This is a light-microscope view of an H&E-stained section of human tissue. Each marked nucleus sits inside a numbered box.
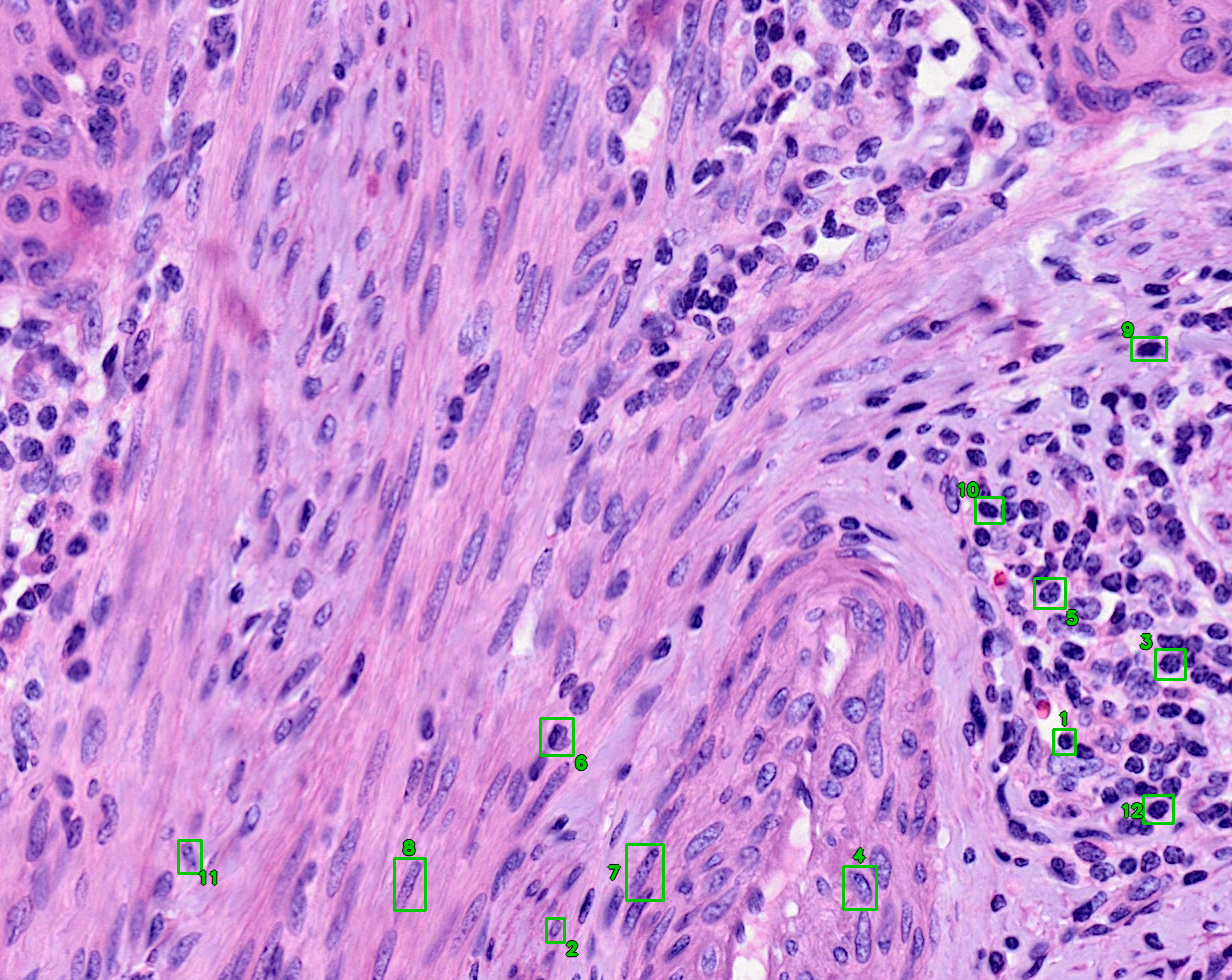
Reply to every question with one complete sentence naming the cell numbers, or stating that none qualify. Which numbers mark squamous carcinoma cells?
Across all the numbered cells, squamous carcinoma cells are absent.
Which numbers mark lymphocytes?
The cells carrying labels 1, 3, 5, 6, 9, 10 and 12 are lymphocytes.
